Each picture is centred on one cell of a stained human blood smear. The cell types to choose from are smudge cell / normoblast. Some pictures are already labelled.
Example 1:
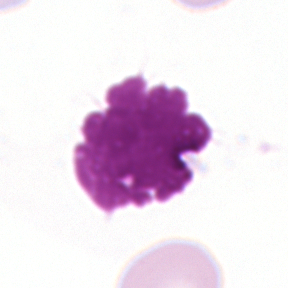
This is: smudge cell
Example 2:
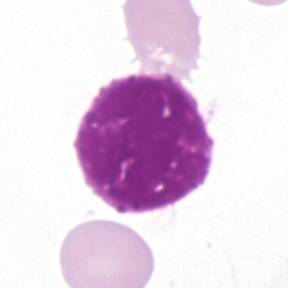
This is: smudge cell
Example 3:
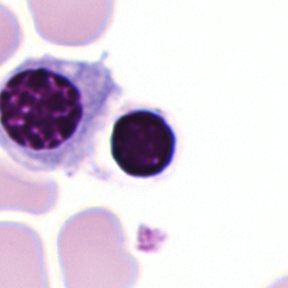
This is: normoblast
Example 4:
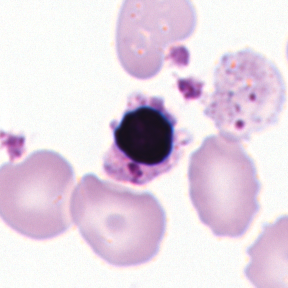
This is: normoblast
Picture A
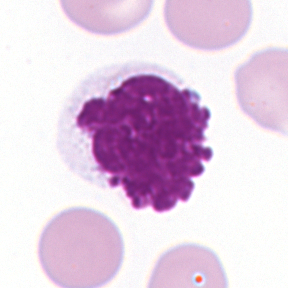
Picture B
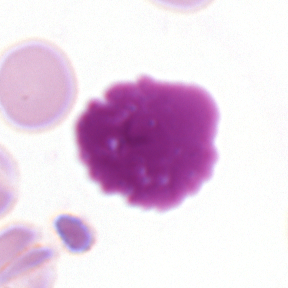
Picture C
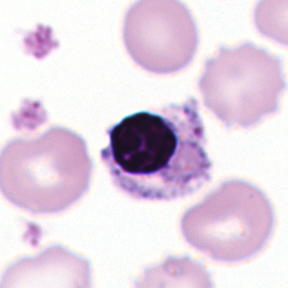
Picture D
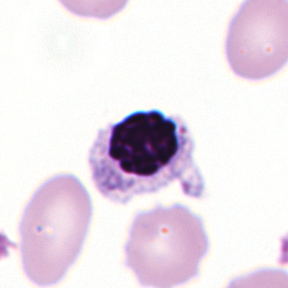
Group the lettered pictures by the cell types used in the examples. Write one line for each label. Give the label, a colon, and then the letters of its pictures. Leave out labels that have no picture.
smudge cell: A, B
normoblast: C, D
